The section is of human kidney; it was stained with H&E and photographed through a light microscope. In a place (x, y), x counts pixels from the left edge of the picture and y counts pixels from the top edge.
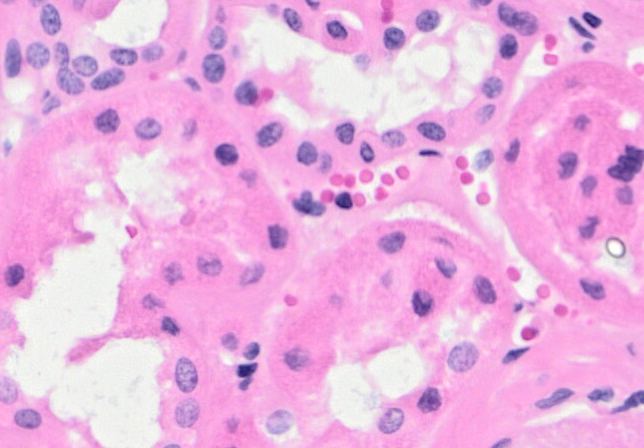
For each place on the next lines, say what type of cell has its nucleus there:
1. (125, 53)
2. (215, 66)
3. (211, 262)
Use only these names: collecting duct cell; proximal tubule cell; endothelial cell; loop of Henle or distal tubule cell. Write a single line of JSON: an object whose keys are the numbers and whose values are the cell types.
{"1": "collecting duct cell", "2": "collecting duct cell", "3": "proximal tubule cell"}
